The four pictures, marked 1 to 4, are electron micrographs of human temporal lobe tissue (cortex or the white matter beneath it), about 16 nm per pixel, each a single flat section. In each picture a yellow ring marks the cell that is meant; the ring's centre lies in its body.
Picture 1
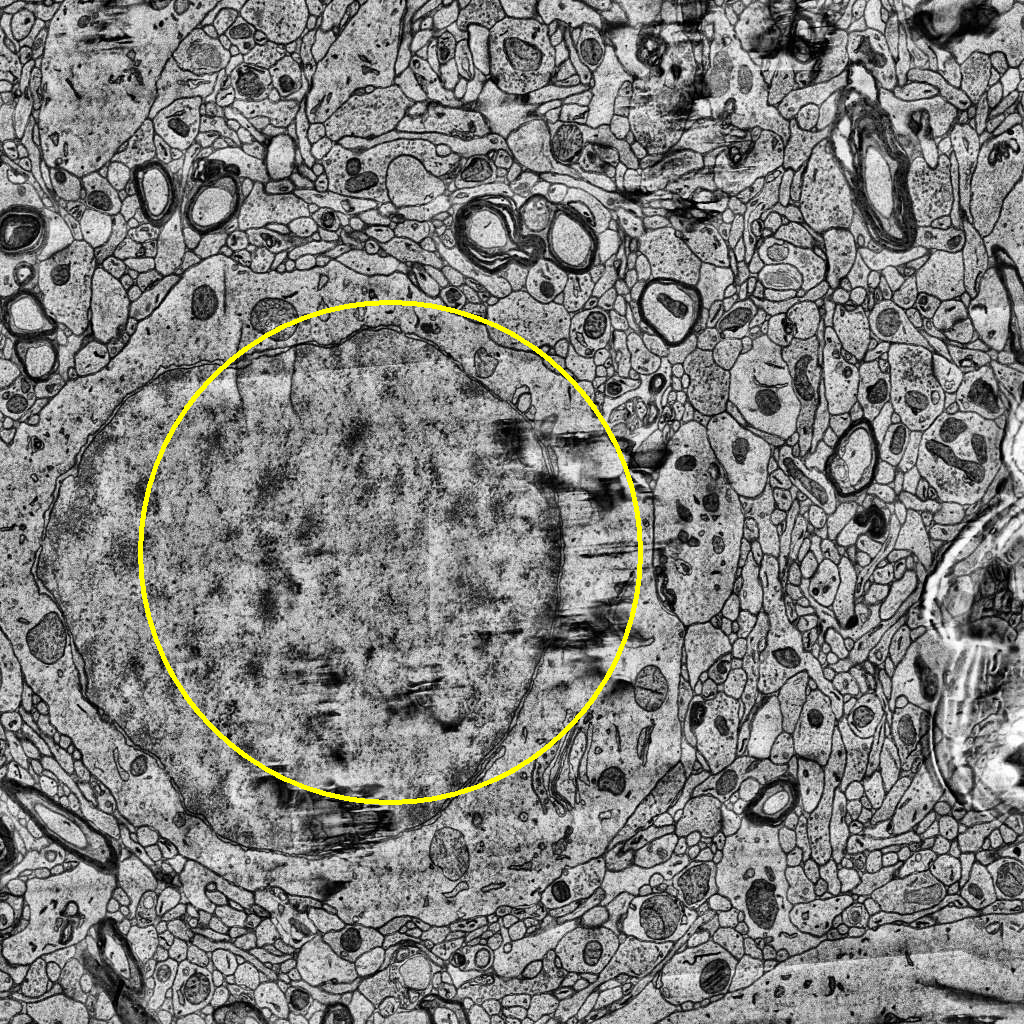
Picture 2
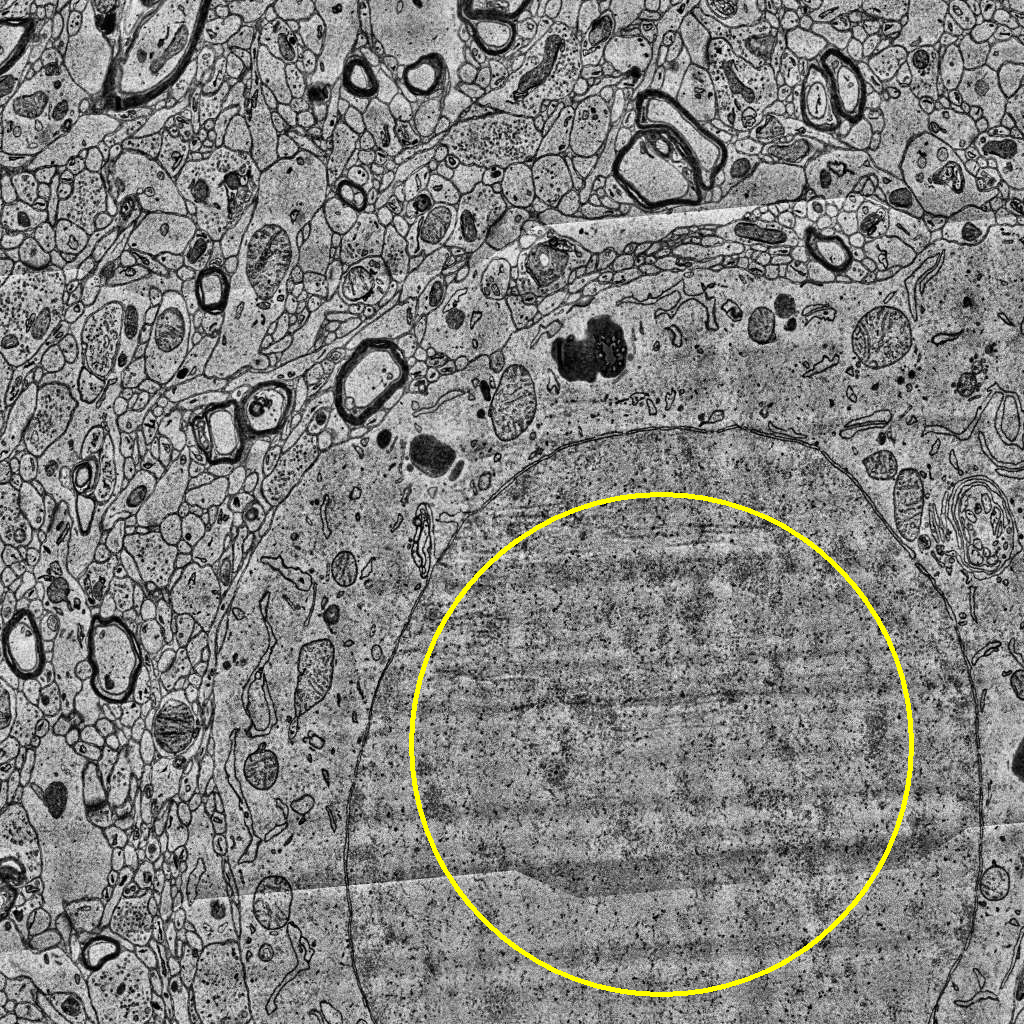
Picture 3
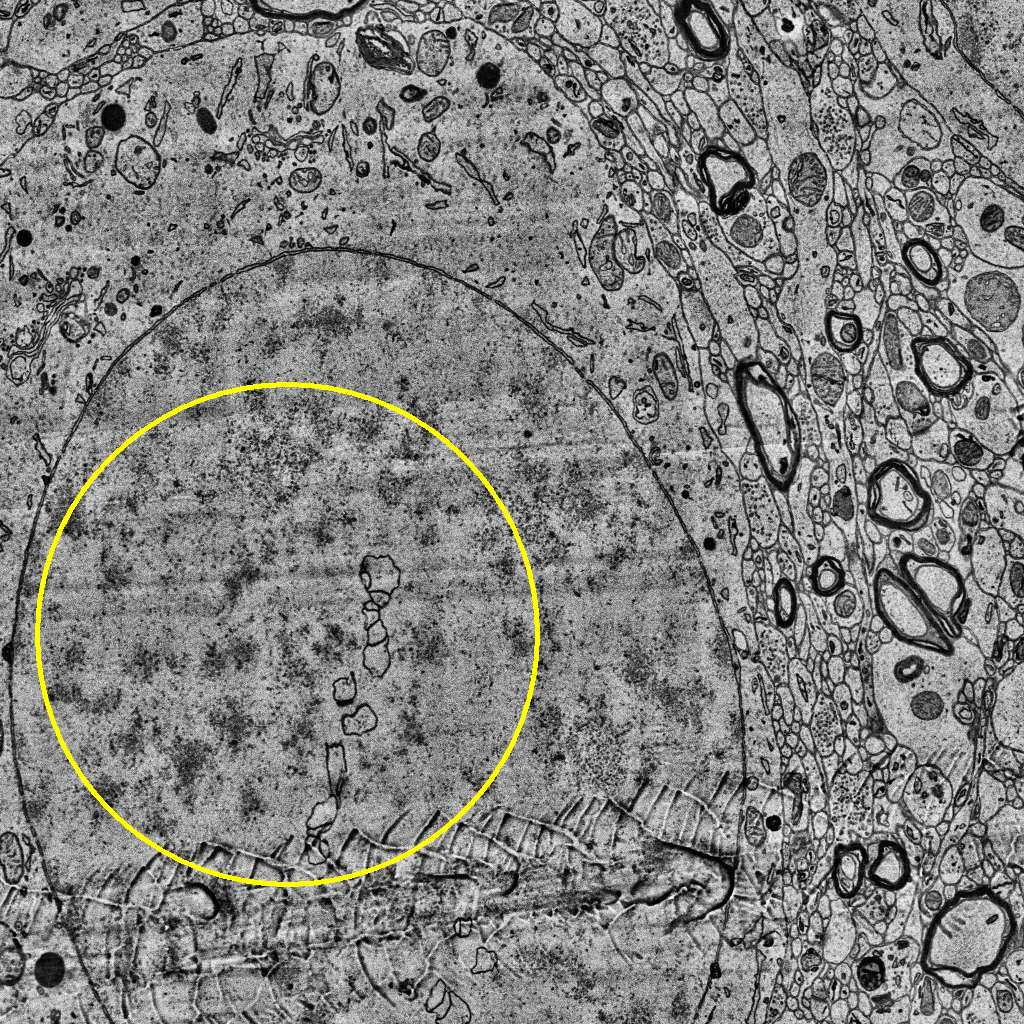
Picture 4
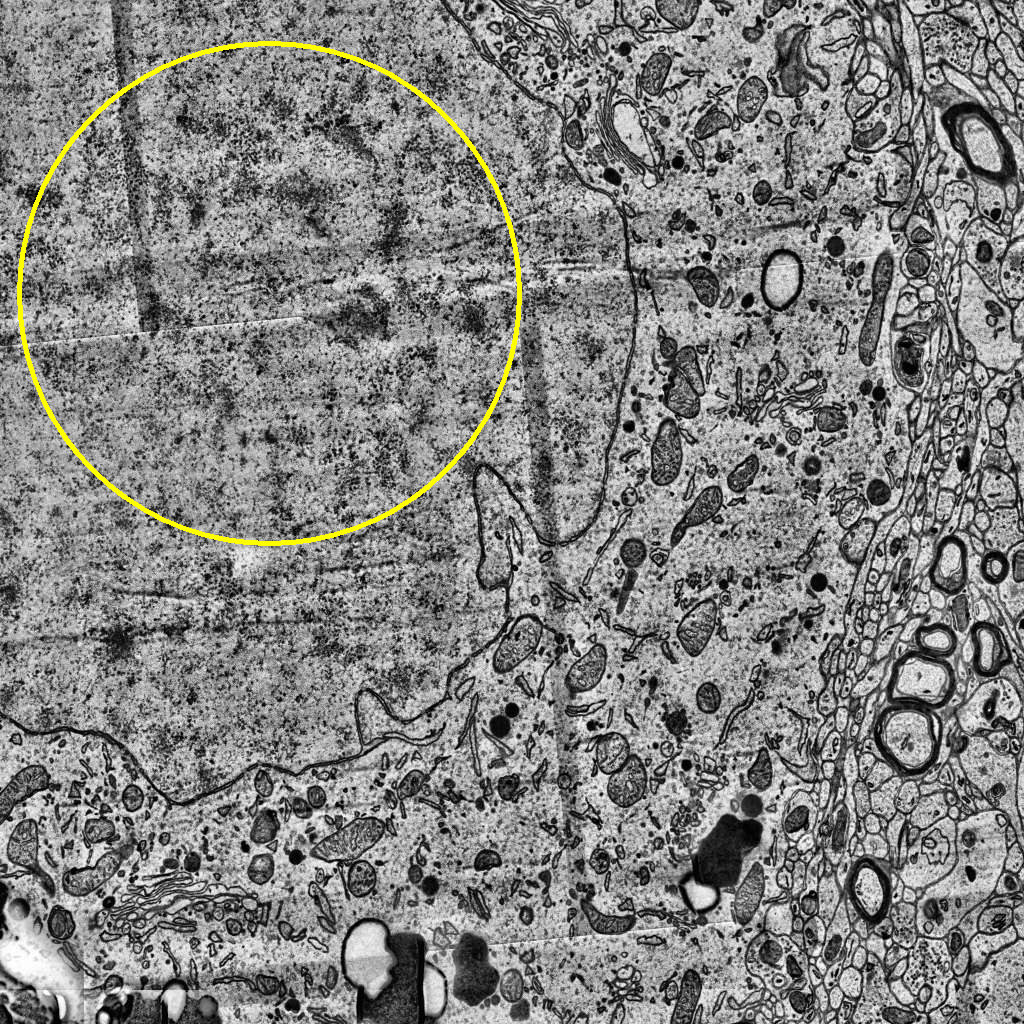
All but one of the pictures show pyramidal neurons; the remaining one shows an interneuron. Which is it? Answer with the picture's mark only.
1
